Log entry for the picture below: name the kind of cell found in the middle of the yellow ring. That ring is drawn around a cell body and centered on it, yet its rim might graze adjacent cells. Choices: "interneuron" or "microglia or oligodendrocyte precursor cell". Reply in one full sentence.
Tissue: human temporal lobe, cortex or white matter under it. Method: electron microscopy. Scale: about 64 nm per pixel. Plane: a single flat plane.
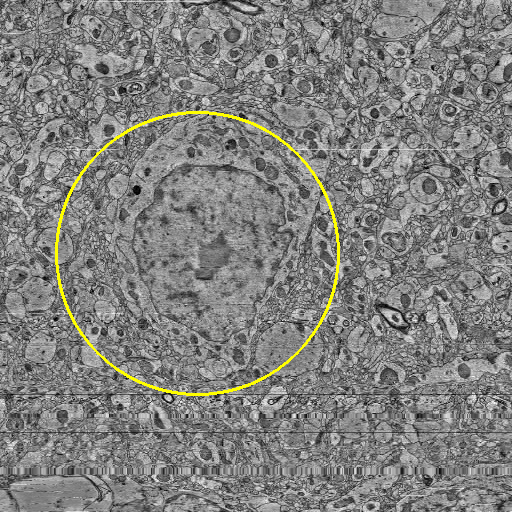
The cell in the middle of the yellow ring in this picture is an interneuron.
